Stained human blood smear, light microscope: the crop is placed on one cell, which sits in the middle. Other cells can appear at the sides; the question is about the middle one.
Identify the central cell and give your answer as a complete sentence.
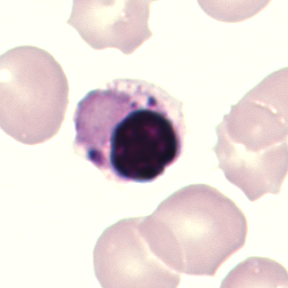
This particular crop is centered on a normoblast.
